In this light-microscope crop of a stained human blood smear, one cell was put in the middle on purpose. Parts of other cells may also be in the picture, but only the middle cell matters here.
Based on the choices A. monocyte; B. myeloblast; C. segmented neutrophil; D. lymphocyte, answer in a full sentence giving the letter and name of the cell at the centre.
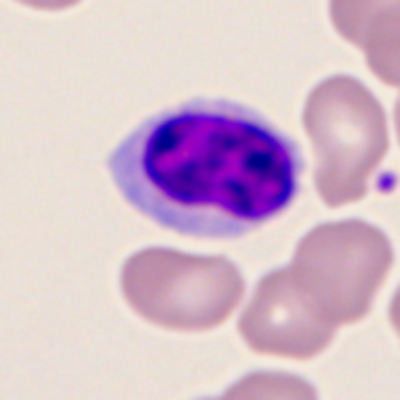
The central cell in this crop is a lymphocyte, so the correct choice is option D.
